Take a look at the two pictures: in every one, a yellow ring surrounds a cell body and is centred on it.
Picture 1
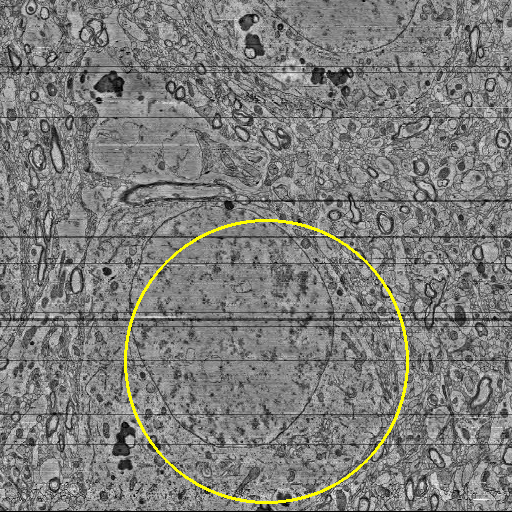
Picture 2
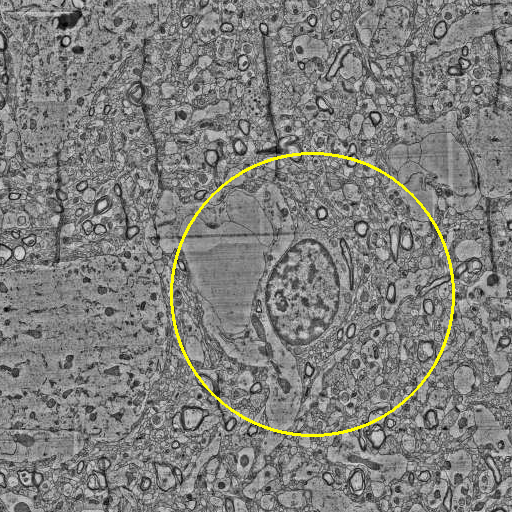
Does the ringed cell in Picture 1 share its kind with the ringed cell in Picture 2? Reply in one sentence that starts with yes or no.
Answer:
No, the two centred cells, one per picture, are of two kinds.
